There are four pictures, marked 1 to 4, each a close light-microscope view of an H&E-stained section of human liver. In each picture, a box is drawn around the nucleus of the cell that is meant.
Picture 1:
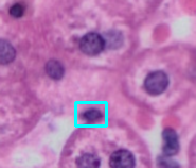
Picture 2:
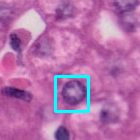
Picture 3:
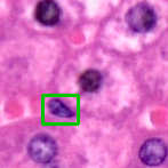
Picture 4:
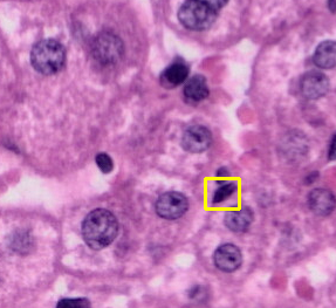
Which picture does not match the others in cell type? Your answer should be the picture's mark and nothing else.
2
